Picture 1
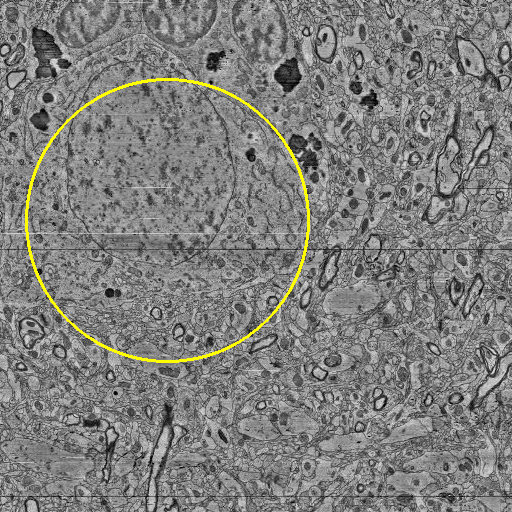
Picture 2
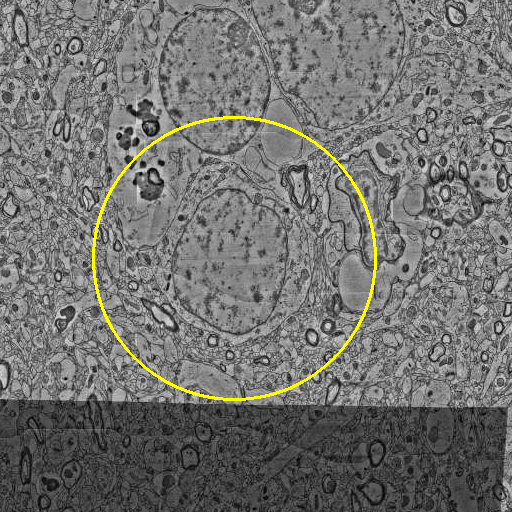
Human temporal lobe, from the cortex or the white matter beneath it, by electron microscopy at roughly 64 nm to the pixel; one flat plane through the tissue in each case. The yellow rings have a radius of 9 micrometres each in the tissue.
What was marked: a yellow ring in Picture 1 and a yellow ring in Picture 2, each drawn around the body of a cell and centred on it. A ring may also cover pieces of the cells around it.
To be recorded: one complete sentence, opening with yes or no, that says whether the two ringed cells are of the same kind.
Yes, the two ringed cells are of the same kind.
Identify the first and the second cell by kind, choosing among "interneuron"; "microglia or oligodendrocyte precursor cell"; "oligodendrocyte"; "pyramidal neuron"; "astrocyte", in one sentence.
The ring centre holds a pyramidal neuron in each of the two pictures.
